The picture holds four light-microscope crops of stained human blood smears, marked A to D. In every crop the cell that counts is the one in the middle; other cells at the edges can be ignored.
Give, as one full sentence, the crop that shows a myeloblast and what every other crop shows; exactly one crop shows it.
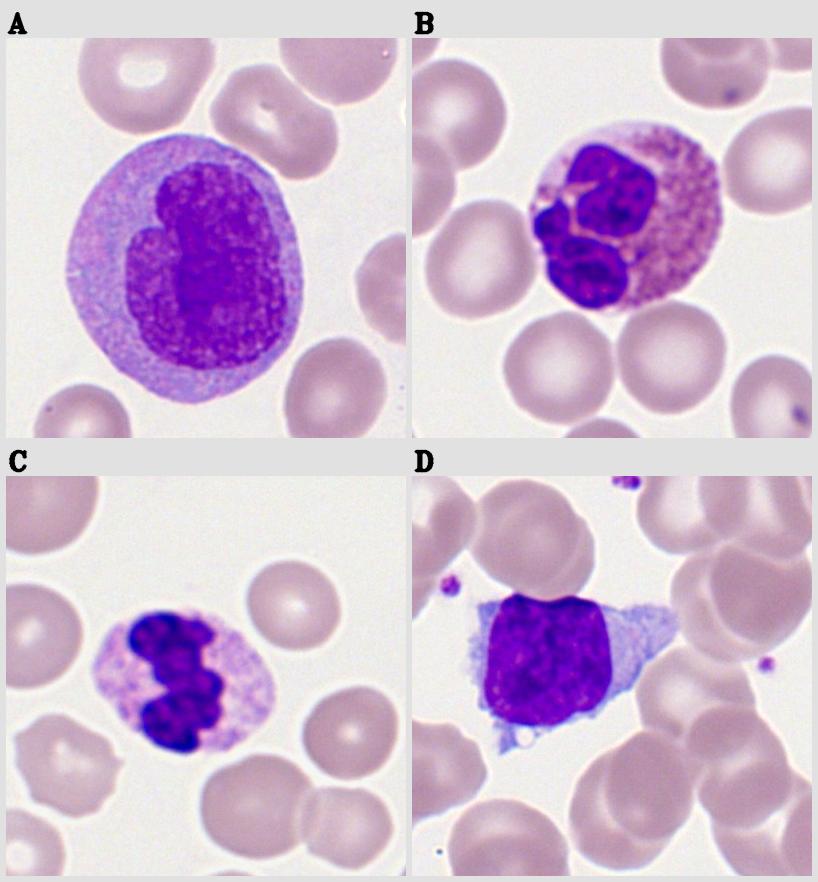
The cell in crop A is a myeloblast, while crop B is an eosinophil, crop C is a segmented neutrophil and crop D is a lymphocyte.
